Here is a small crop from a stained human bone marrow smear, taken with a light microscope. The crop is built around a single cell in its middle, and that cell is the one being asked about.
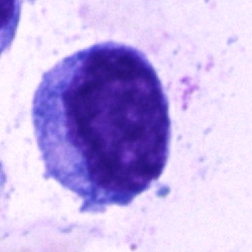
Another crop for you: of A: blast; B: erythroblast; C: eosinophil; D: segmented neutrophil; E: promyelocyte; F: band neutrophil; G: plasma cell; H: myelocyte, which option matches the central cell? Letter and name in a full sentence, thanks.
Correctly, option A names the cell in the middle a blast.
